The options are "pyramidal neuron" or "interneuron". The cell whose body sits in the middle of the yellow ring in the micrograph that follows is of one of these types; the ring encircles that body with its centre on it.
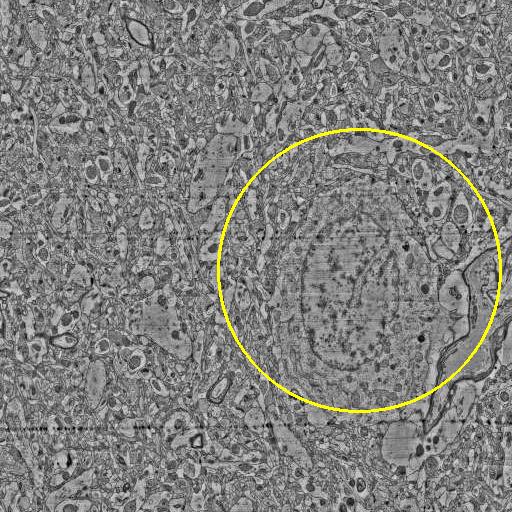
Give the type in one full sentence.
Going by the micrograph, the cell centred in the yellow ring is an interneuron.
